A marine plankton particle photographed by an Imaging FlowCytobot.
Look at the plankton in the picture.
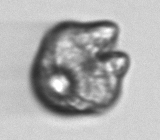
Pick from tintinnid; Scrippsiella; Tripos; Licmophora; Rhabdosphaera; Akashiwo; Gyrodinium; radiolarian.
Akashiwo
